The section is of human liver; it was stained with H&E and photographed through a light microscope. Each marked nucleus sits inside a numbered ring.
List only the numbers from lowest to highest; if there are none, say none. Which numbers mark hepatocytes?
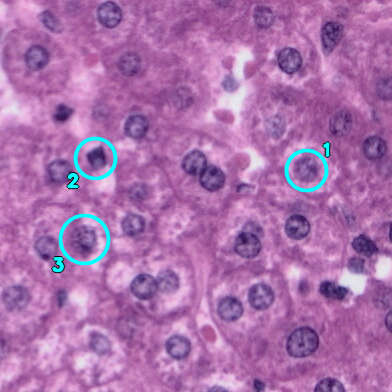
1, 3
